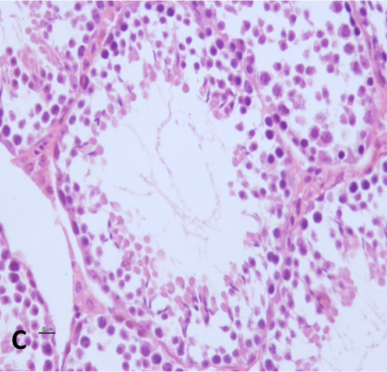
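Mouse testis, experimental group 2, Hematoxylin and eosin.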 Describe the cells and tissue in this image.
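The germ cells, with round purple nuclei, form a thin, loosely packed rim, and many lie separated from one another and from the tubule wall. The centre is a wide, pale lumen containing only faint wispy strands rather than a mass of sperm. The cytoplasm is pale and the epithelium looks frayed and vacuolated. The tubule outline is irregular, and pinkish interstitial tissue lies at the left between it and the neighbouring tubule.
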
